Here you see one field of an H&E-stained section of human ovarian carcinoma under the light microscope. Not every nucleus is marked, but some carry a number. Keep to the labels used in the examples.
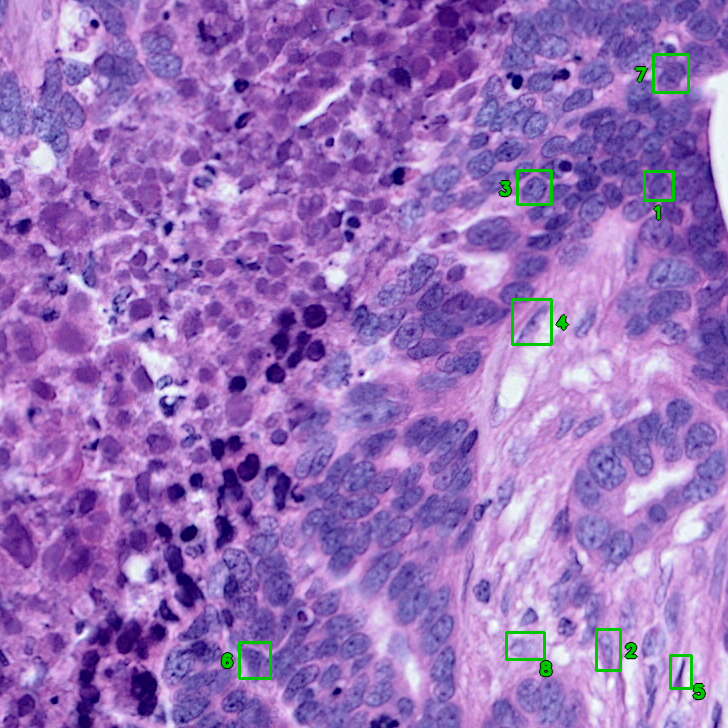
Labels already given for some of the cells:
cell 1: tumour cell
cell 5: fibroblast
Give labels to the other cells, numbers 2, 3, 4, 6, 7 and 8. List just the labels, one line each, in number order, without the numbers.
fibroblast
tumour cell
fibroblast
tumour cell
tumour cell
fibroblast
